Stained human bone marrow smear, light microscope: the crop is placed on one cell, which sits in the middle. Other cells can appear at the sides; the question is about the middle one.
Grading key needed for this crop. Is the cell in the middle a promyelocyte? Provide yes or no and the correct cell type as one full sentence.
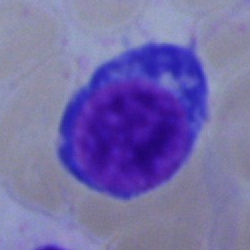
No, the central cell is not a promyelocyte, being instead a proerythroblast.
